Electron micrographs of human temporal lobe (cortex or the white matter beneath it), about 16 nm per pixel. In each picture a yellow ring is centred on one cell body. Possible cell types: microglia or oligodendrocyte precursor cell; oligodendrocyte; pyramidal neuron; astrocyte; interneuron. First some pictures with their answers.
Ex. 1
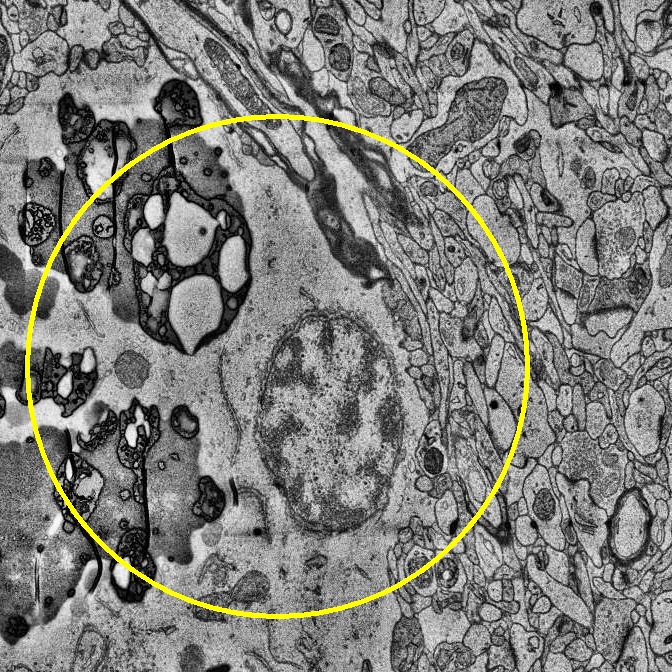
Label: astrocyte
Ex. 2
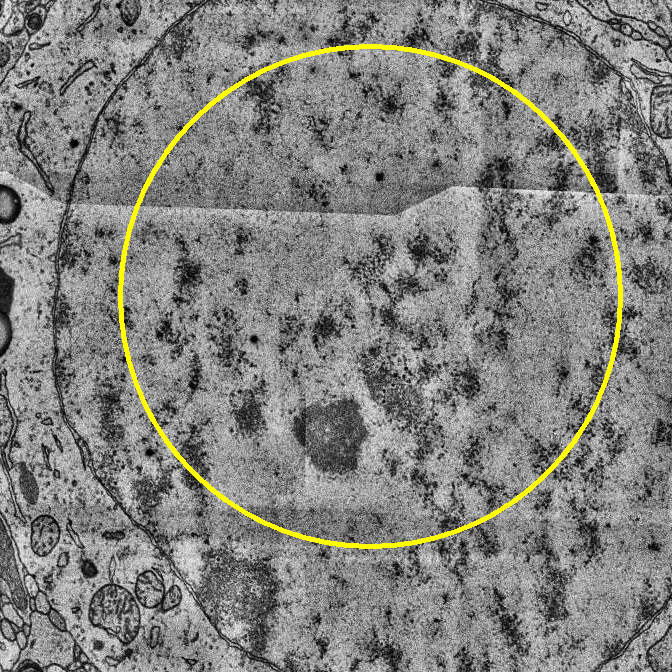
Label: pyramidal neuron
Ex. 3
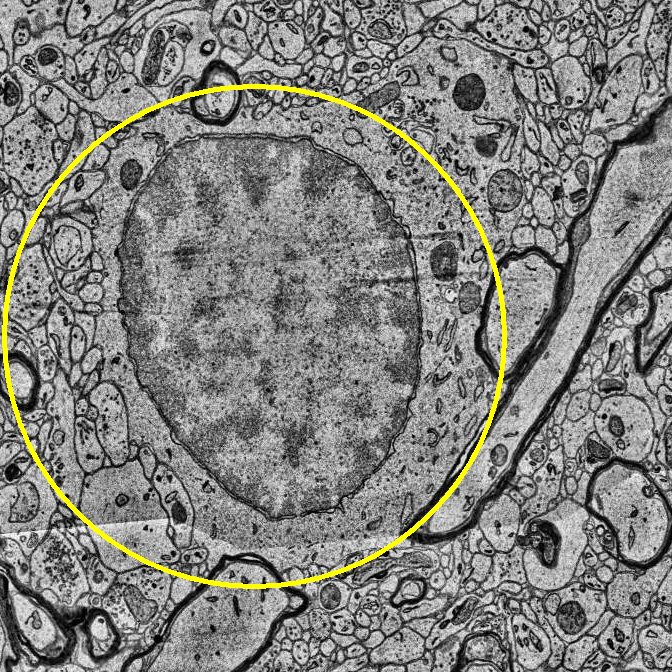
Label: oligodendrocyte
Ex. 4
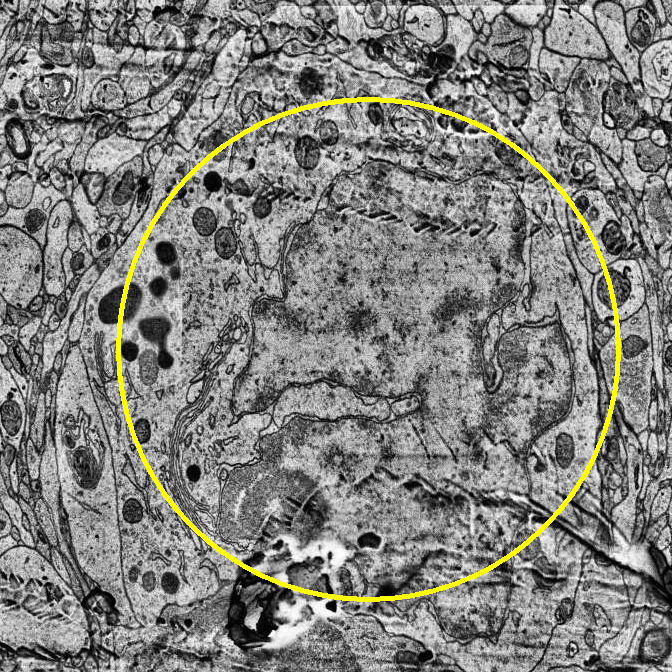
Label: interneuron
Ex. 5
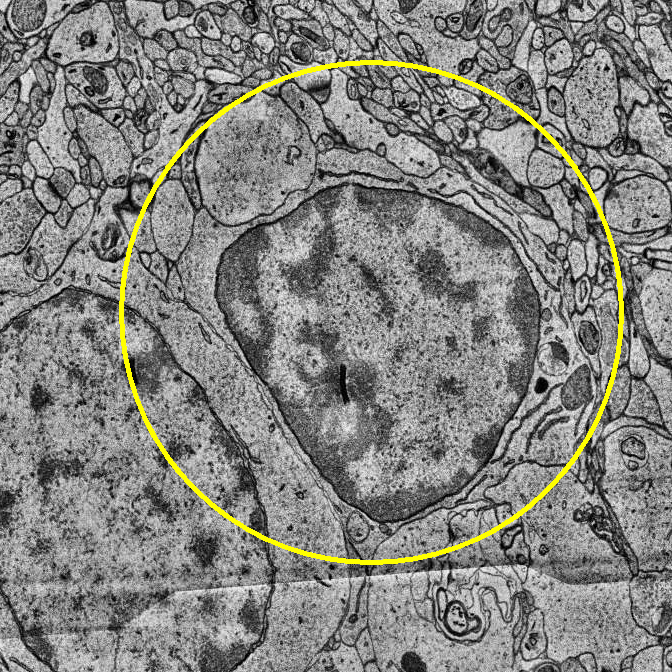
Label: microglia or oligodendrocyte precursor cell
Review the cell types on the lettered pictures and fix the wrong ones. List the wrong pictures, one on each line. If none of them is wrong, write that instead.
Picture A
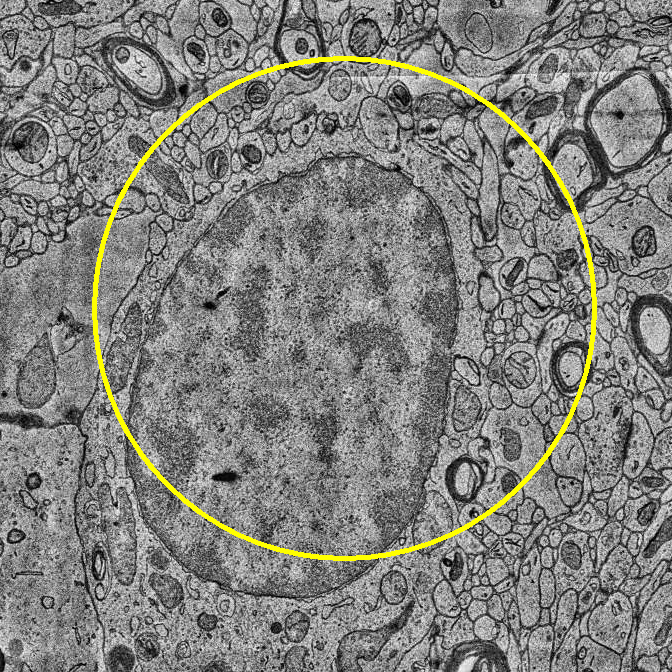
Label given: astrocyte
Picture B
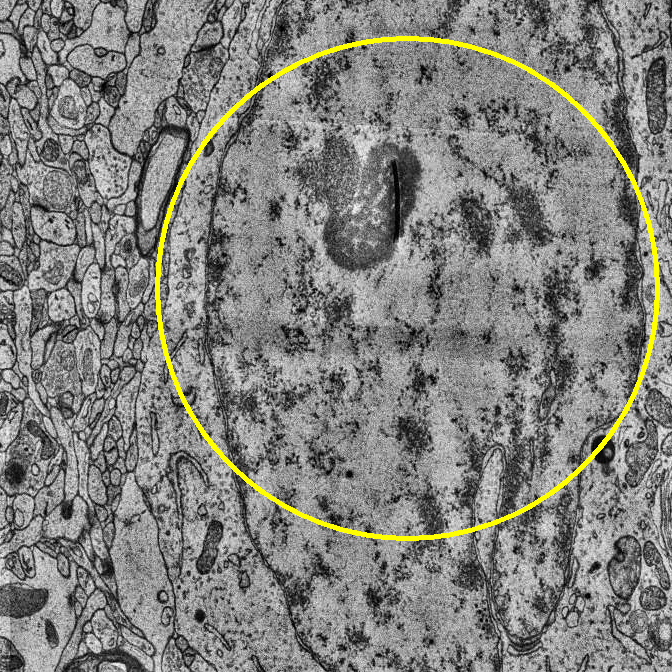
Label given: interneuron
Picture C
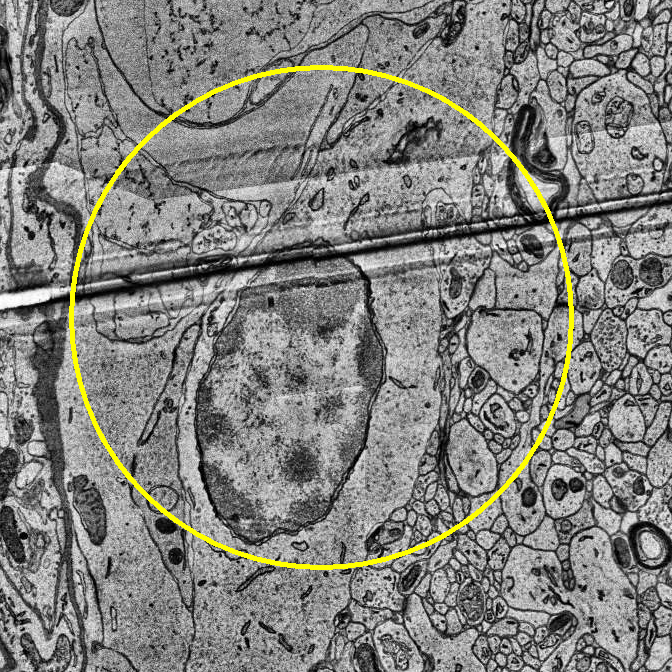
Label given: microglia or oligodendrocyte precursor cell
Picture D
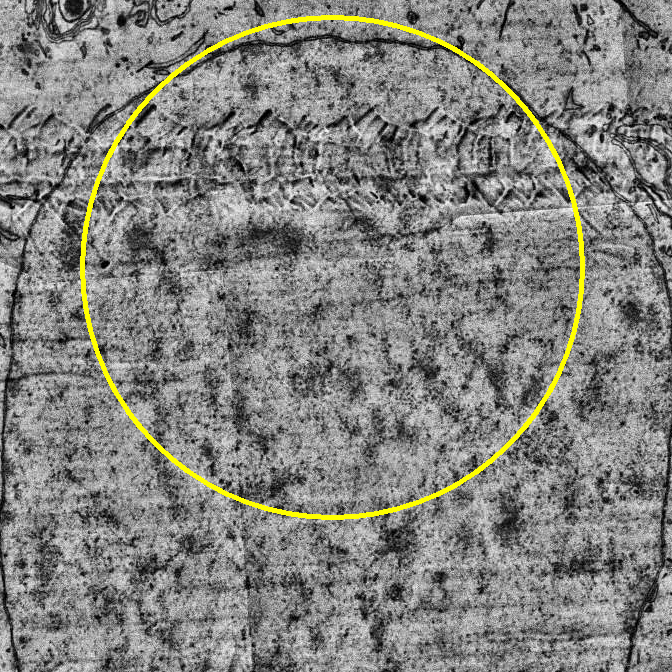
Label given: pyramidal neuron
A should be oligodendrocyte, not astrocyte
